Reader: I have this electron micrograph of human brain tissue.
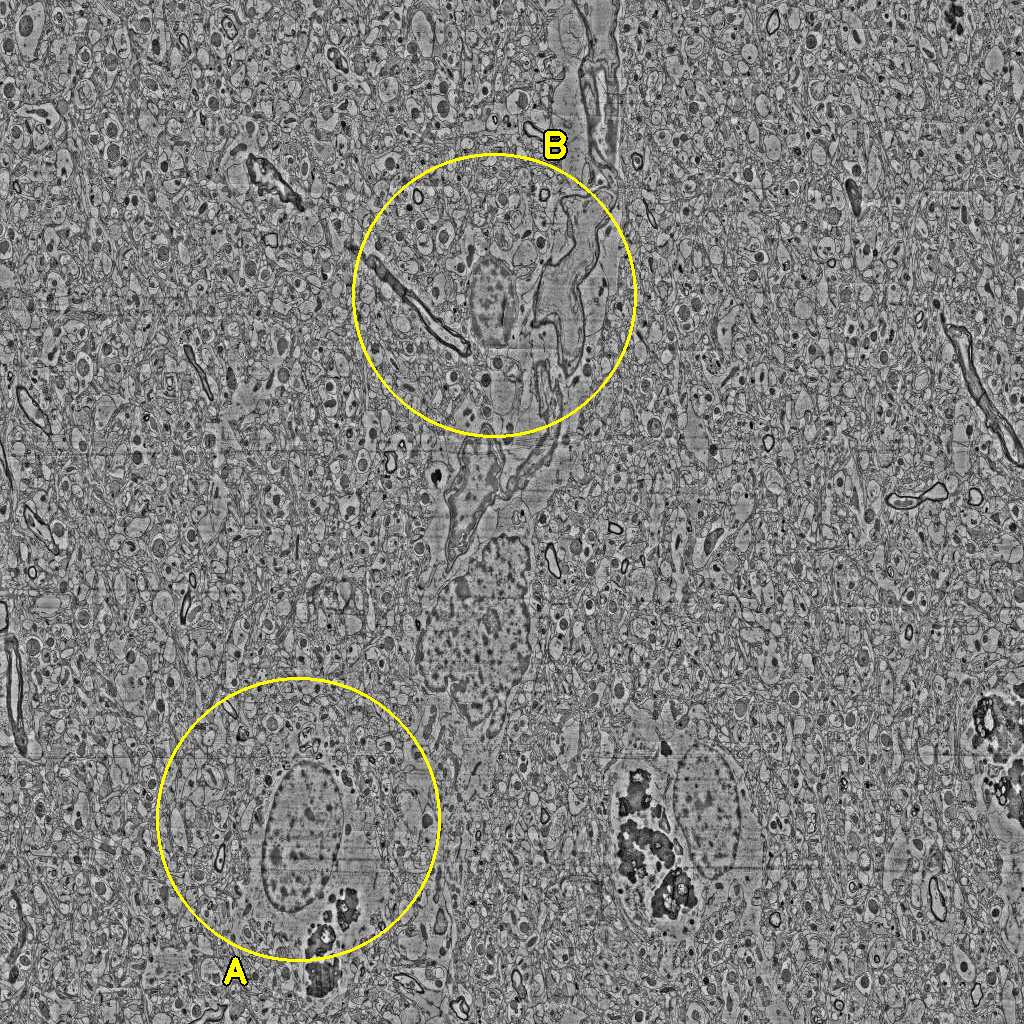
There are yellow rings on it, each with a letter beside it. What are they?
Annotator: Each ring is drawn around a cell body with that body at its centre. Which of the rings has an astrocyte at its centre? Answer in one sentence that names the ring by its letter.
That cell sits at the centre of ring A.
